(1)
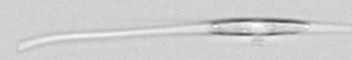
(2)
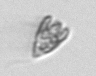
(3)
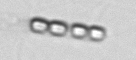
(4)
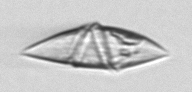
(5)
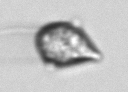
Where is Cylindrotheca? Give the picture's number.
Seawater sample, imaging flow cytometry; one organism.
1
